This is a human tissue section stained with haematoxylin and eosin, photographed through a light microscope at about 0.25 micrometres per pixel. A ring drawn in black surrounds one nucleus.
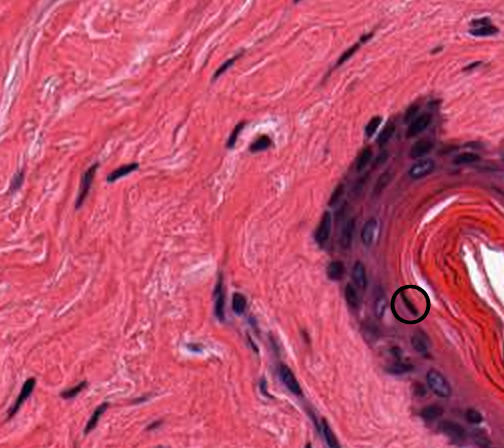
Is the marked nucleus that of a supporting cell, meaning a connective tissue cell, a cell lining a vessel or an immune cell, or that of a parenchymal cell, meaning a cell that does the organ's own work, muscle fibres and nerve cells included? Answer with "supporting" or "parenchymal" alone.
parenchymal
